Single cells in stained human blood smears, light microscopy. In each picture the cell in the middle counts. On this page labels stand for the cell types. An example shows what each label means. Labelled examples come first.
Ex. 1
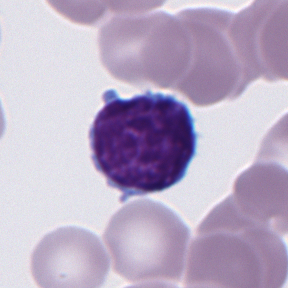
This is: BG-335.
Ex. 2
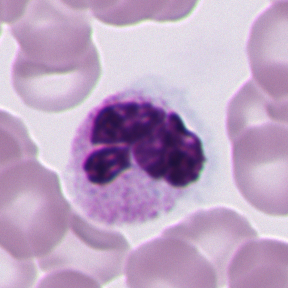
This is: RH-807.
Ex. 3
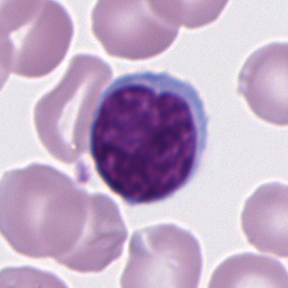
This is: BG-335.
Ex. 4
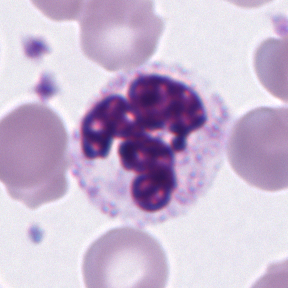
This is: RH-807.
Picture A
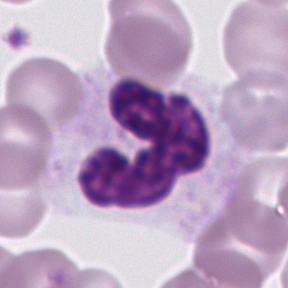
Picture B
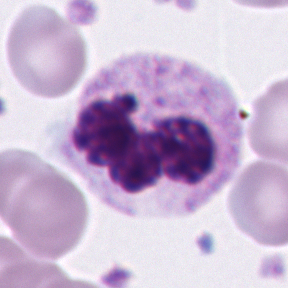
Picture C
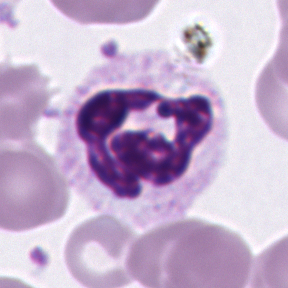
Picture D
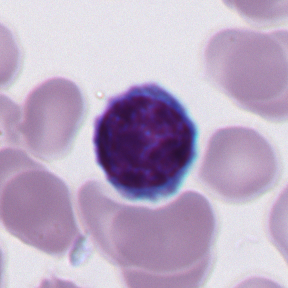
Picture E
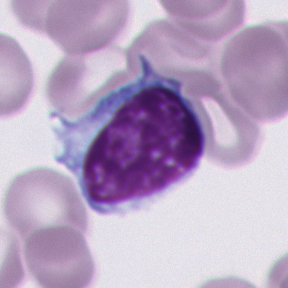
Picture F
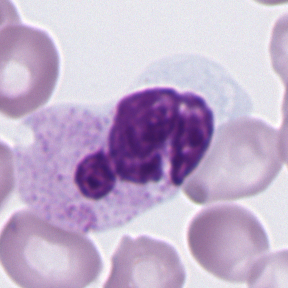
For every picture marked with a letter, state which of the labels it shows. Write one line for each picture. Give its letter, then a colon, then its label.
A: RH-807.
B: RH-807.
C: RH-807.
D: BG-335.
E: BG-335.
F: RH-807.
